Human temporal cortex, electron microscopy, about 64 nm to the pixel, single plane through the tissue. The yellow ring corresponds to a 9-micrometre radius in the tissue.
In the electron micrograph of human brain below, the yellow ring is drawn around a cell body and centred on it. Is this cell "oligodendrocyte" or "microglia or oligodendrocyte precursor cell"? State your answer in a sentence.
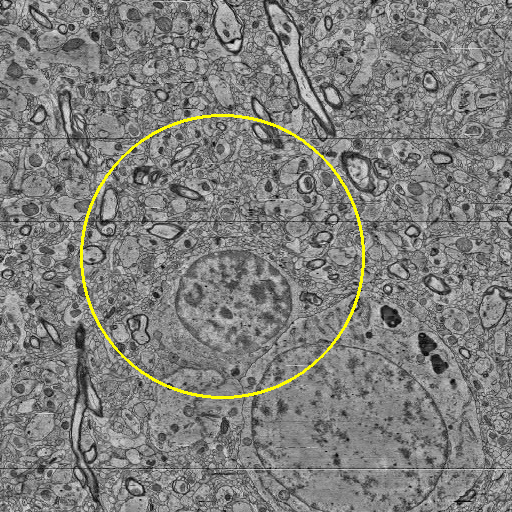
The cell in the middle of the ring is an oligodendrocyte.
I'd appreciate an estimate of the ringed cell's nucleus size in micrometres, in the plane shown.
Roughly 7 micrometres across for the nucleus, in this plane.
